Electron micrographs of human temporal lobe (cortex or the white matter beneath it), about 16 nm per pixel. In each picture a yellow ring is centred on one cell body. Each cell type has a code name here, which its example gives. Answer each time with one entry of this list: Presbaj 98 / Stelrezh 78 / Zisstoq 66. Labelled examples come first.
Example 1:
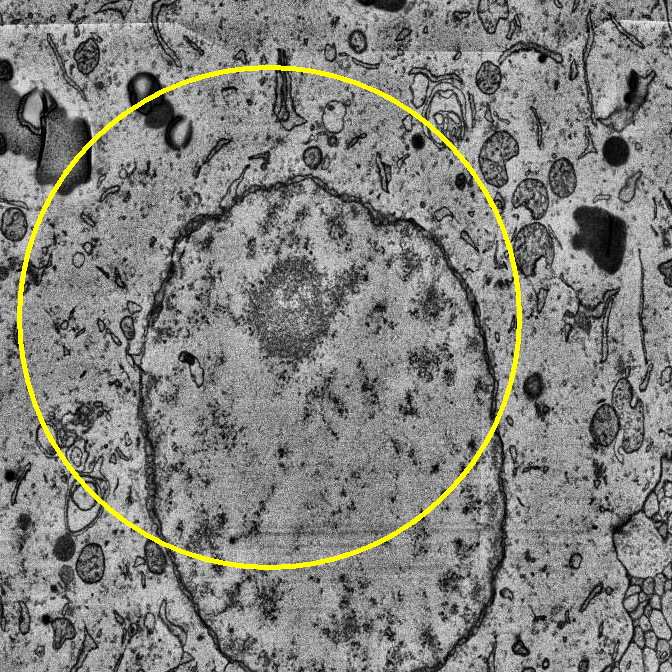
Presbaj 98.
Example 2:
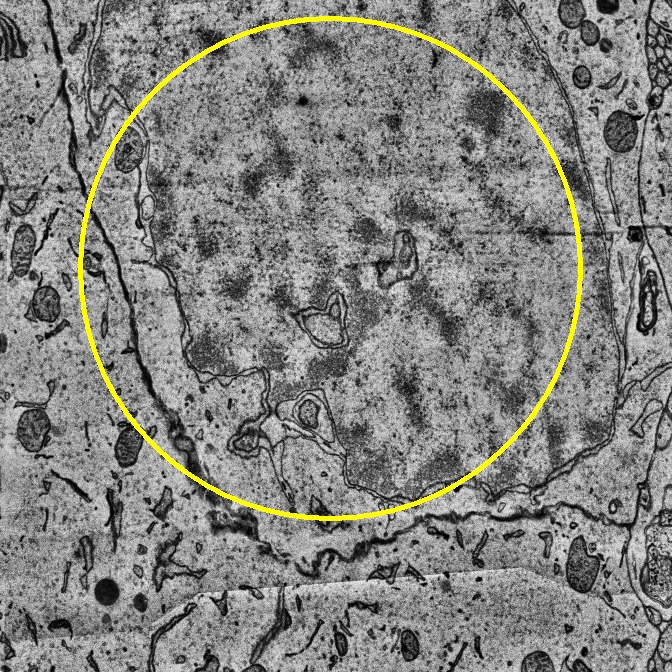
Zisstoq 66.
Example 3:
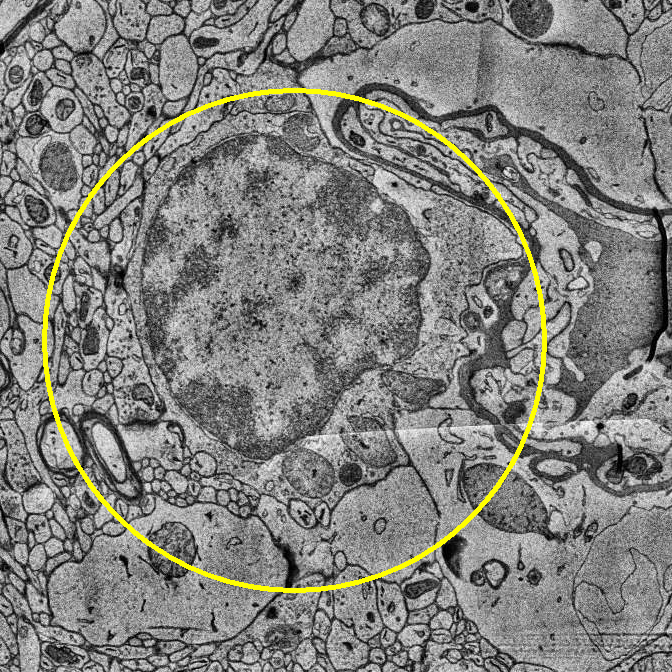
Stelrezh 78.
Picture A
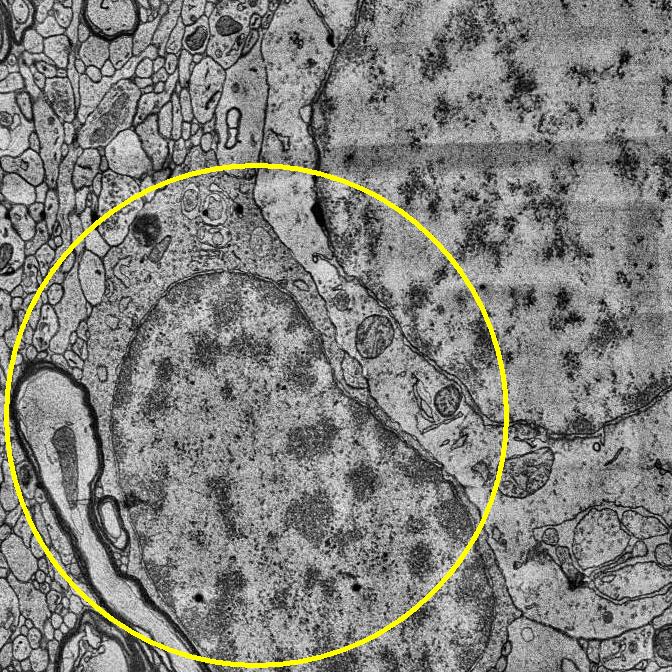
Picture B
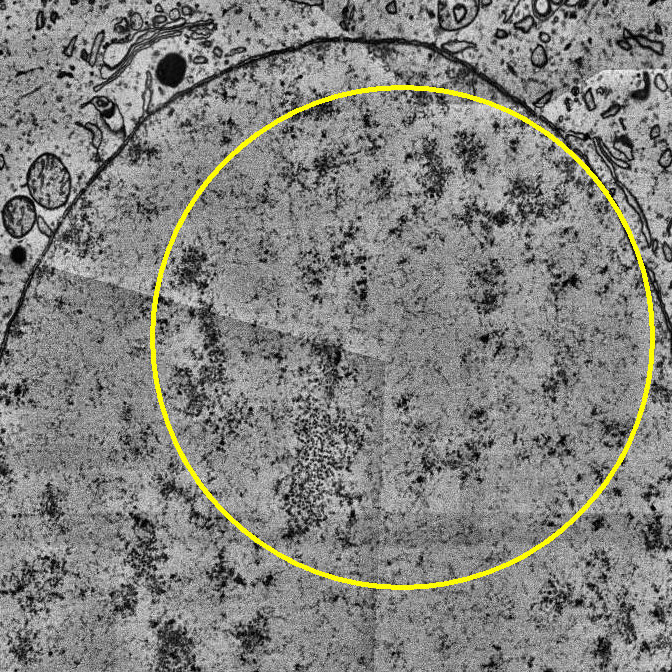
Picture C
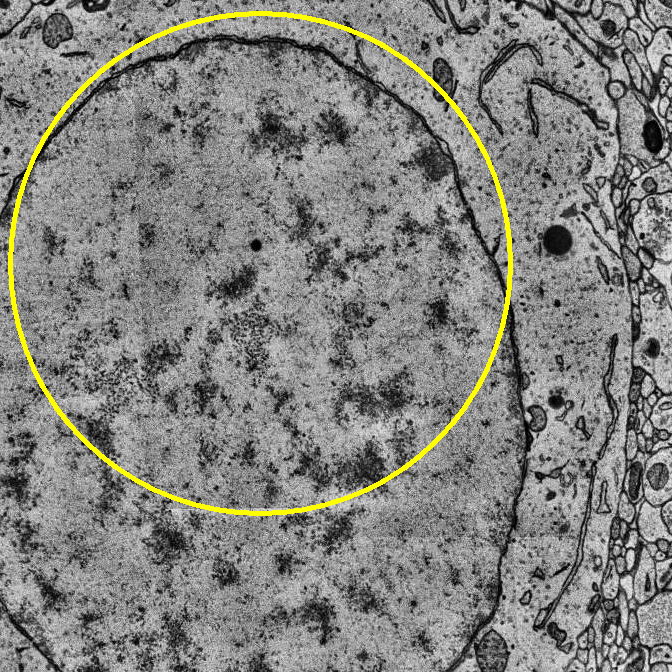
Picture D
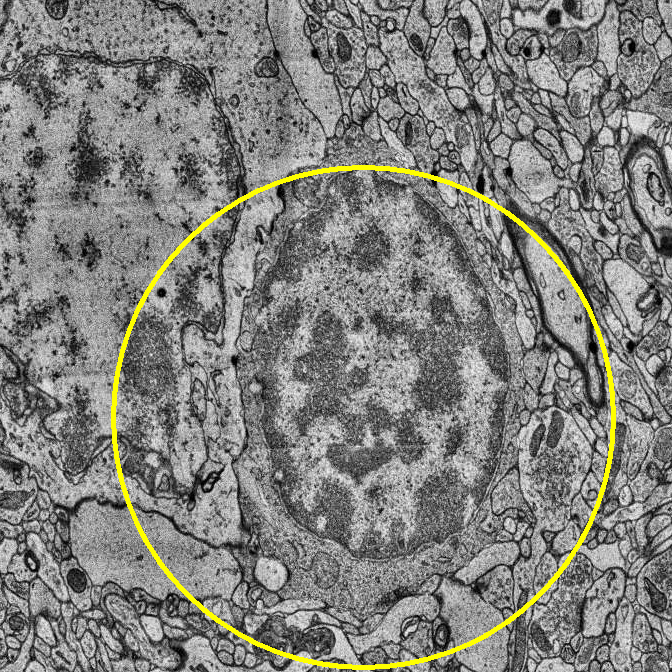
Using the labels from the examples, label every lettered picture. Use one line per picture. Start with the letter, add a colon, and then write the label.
A: Stelrezh 78.
B: Presbaj 98.
C: Presbaj 98.
D: Stelrezh 78.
